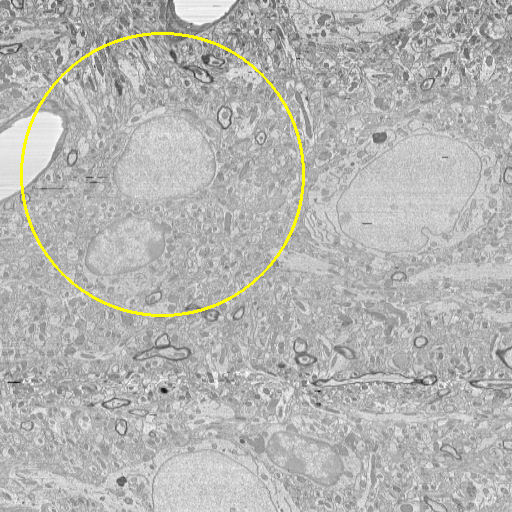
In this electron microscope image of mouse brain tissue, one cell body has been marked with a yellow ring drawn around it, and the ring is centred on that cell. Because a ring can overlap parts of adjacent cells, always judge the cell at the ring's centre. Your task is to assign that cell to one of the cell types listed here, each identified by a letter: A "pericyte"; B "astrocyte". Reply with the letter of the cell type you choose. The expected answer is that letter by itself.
B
